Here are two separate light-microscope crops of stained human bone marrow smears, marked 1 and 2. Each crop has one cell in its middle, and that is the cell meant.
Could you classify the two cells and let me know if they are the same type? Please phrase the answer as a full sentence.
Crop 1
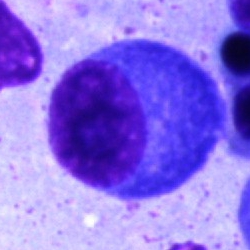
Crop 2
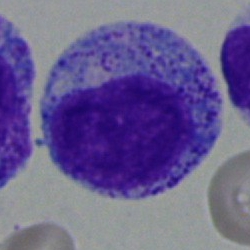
No, a promyelocyte is the cell of crop 2, while a plasma cell is the cell of crop 1.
